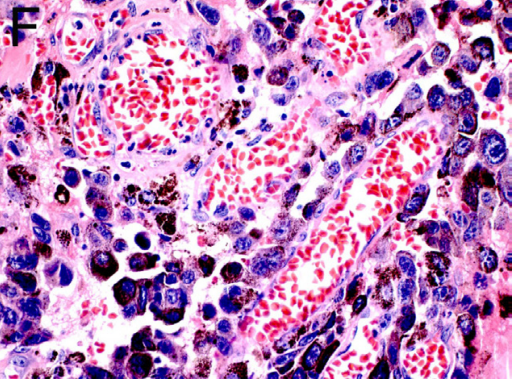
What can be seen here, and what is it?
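Several thin-walled blood vessels packed with red blood cells run through the field. Around them lie crowded atypical cells with large dark nuclei, many filled with coarse brown-black pigment granules. The pigmented cells press right up against the vessel walls and hug their outlines. This is melanoma showing perivascular invasion, with pigmented neoplastic melanocytes gathered around the vessels.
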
